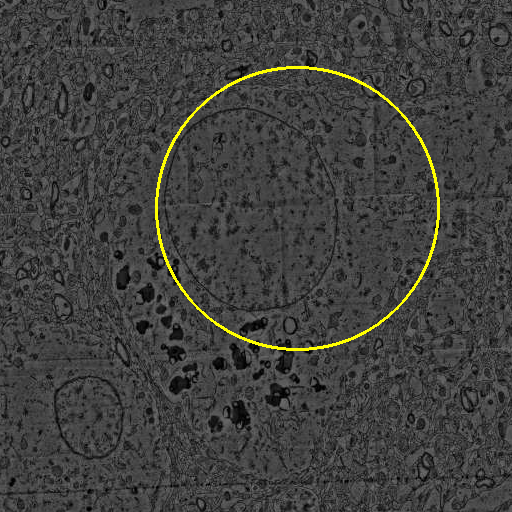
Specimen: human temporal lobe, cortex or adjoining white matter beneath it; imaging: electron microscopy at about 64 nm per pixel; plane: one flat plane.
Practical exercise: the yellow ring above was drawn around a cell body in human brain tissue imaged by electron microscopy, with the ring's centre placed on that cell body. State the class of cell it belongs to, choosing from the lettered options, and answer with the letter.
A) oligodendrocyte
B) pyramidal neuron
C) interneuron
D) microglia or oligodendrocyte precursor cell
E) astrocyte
B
